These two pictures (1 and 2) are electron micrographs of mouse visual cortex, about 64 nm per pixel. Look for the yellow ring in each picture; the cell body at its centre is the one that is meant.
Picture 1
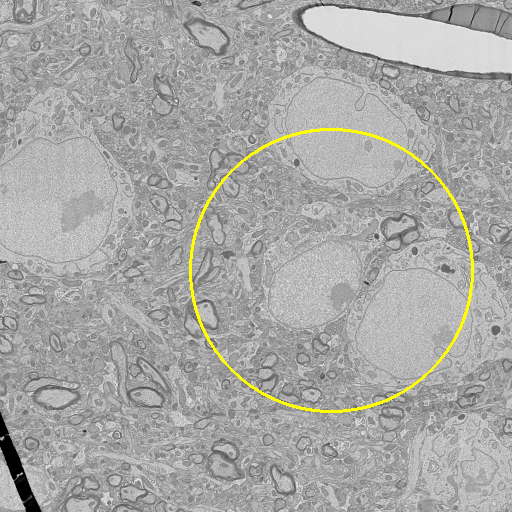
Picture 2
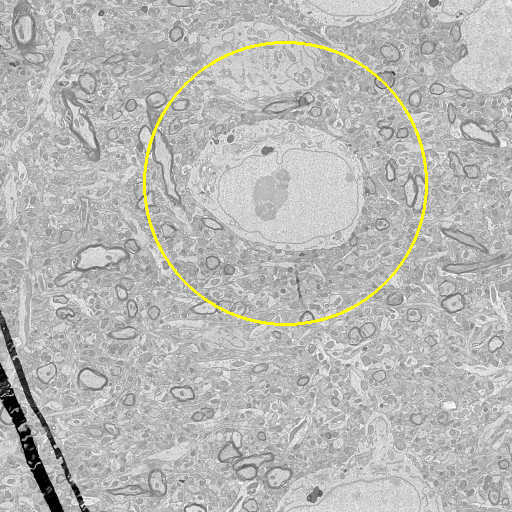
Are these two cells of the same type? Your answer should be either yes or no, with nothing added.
no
